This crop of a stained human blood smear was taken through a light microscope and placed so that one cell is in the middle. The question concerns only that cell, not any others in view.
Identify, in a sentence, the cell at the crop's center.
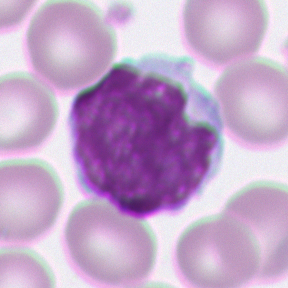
In the middle of this smear crop, the cell is a typical lymphocyte.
